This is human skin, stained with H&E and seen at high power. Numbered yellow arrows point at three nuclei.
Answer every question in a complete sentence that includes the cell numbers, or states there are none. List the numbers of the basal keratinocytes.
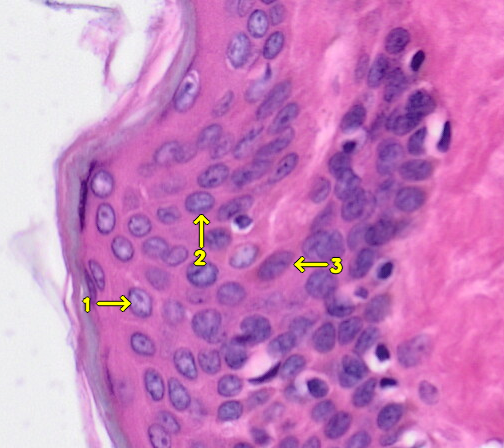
The one cell that is a basal keratinocyte is cell 3, and no other.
